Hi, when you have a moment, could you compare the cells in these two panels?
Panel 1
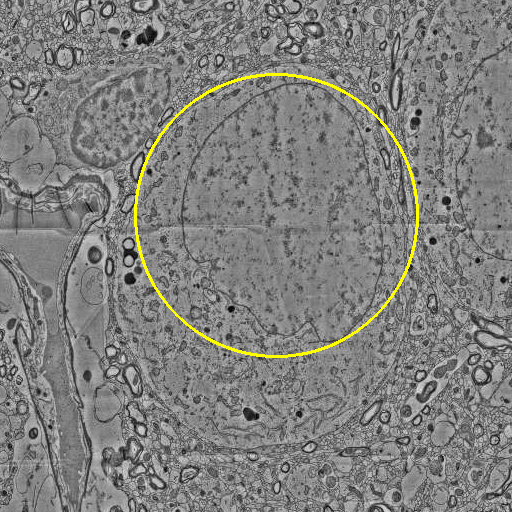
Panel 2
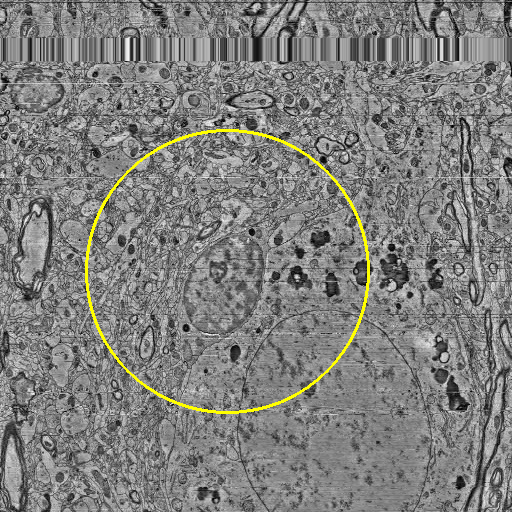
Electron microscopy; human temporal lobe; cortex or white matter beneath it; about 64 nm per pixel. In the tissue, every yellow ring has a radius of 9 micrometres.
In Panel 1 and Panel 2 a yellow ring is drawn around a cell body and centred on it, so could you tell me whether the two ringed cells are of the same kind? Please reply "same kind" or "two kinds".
two kinds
